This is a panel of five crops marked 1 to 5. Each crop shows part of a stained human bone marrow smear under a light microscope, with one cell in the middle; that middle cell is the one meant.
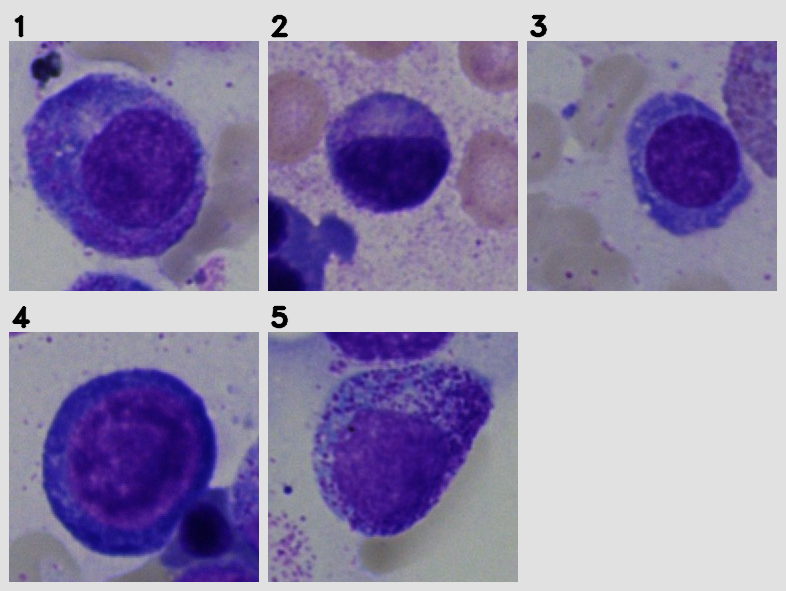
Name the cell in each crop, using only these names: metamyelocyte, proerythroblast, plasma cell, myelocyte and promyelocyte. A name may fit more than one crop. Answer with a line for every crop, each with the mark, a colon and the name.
1: promyelocyte
2: myelocyte
3: plasma cell
4: proerythroblast
5: myelocyte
